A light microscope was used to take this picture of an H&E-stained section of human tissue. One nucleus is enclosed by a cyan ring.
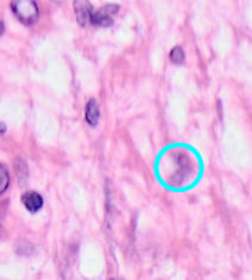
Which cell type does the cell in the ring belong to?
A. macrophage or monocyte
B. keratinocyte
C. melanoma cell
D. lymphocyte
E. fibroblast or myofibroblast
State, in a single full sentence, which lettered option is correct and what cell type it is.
Option E stands as correct, with the cell in the ring being a fibroblast or myofibroblast.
